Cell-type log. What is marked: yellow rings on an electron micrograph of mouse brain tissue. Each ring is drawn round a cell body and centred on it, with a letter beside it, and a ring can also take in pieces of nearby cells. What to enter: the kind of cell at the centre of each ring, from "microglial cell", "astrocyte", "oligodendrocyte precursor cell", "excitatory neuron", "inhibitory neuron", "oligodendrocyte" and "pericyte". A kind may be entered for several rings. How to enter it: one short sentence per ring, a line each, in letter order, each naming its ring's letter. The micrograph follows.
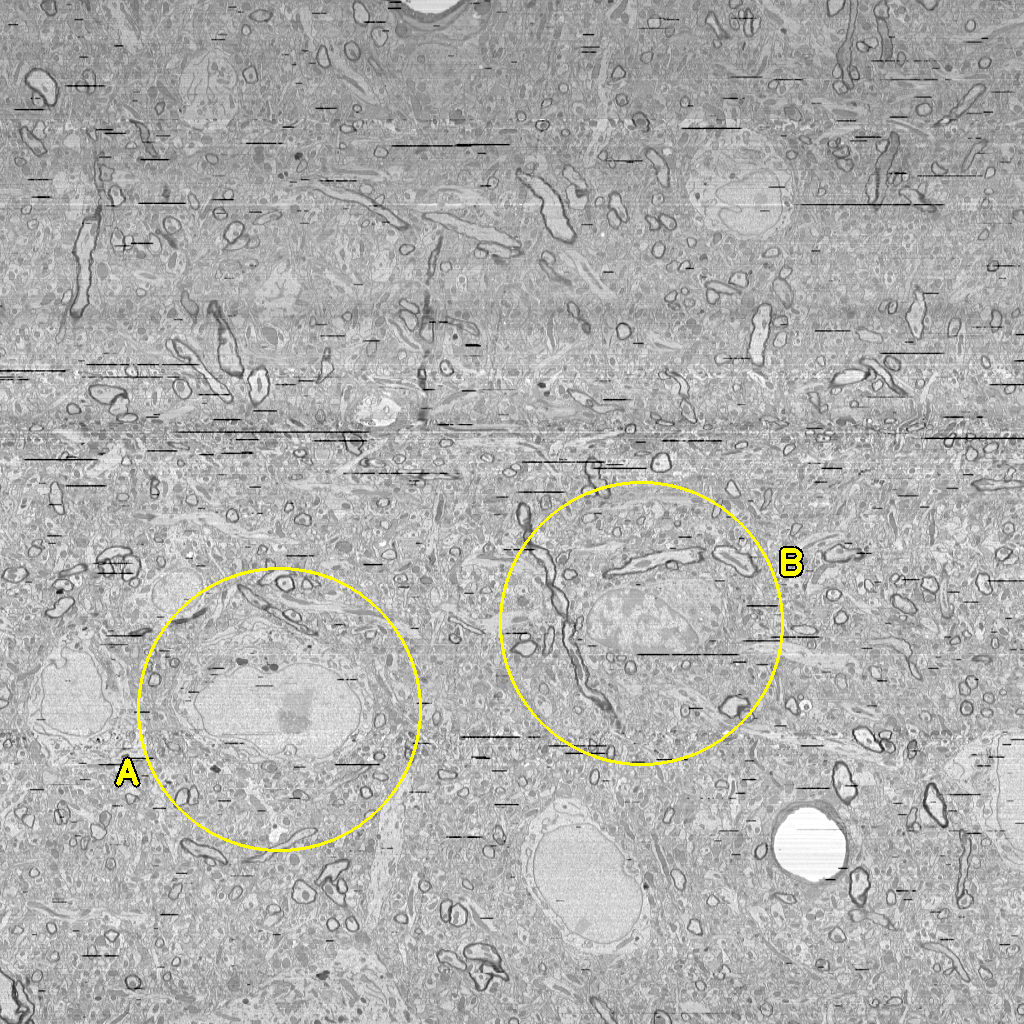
For ring A, the centre cell is an inhibitory neuron.
For ring B, the centre cell is an oligodendrocyte.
